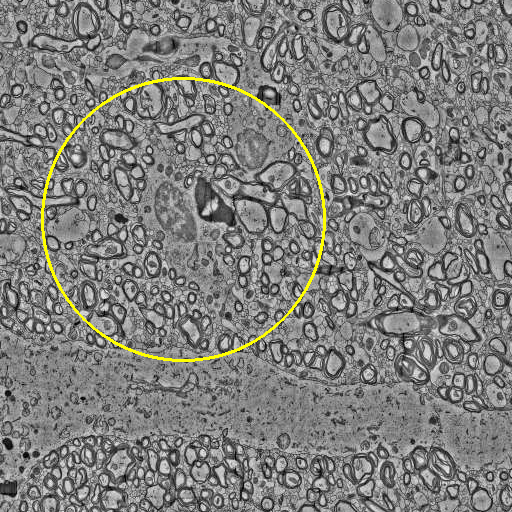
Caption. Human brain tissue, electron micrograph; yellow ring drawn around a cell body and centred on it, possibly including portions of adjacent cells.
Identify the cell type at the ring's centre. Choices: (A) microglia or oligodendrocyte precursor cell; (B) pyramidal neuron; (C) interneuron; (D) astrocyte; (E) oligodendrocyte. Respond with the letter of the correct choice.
E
